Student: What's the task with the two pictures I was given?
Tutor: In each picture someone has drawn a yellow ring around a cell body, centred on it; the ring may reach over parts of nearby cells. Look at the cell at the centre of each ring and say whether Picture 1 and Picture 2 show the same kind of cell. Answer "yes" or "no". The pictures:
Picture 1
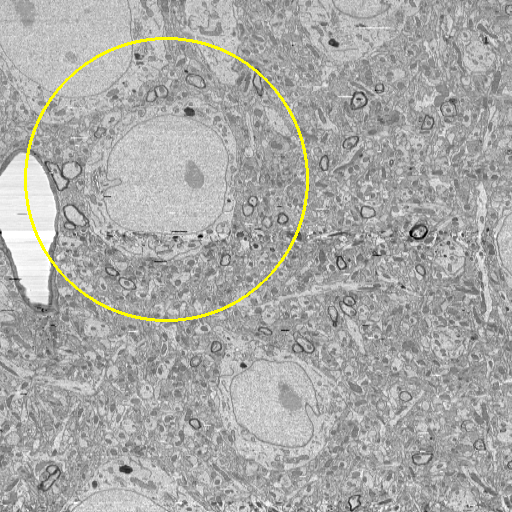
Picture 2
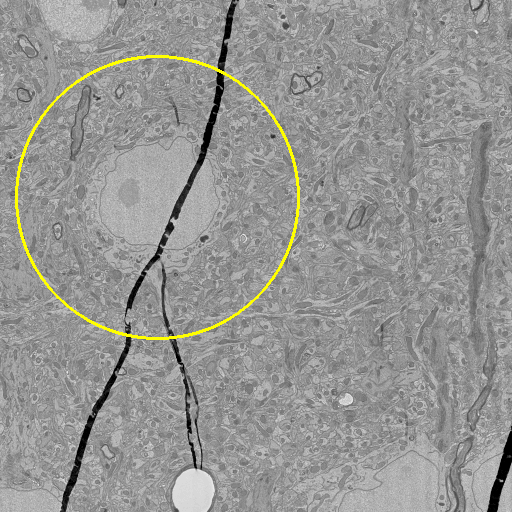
yes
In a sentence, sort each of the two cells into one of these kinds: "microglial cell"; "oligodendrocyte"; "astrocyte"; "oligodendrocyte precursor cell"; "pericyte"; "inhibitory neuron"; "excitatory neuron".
Both pictures show an excitatory neuron at the centre of the ring.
